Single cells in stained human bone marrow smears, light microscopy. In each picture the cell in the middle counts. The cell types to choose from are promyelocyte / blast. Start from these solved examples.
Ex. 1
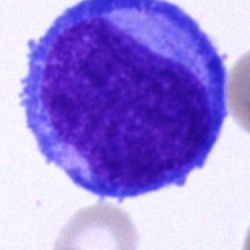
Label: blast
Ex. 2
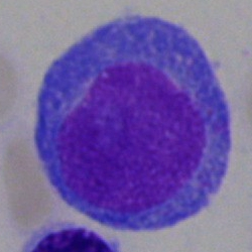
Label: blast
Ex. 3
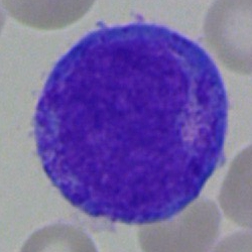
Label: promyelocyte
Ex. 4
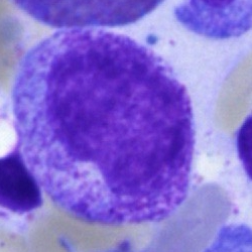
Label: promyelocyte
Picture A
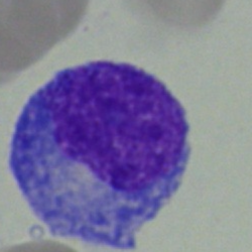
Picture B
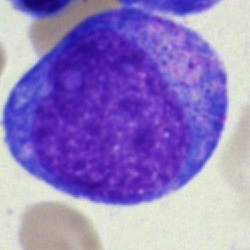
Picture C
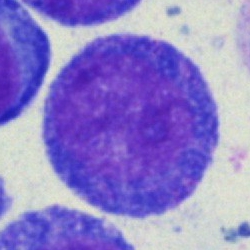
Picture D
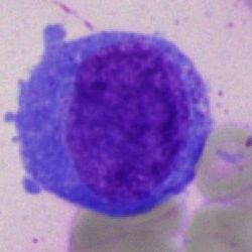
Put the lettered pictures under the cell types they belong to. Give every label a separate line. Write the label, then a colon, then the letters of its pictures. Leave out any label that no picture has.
promyelocyte: A, C
blast: B, D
